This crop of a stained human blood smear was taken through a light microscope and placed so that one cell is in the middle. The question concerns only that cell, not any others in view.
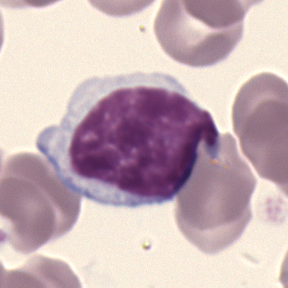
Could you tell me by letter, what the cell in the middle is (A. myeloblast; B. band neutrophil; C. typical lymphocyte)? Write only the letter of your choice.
A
